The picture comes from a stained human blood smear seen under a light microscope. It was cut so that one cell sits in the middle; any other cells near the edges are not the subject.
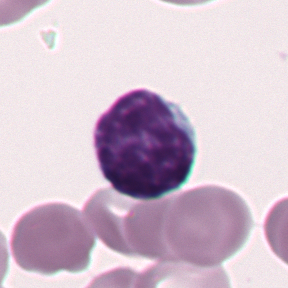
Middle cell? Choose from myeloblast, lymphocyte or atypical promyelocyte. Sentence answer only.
The cell sitting right in the middle is a lymphocyte.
